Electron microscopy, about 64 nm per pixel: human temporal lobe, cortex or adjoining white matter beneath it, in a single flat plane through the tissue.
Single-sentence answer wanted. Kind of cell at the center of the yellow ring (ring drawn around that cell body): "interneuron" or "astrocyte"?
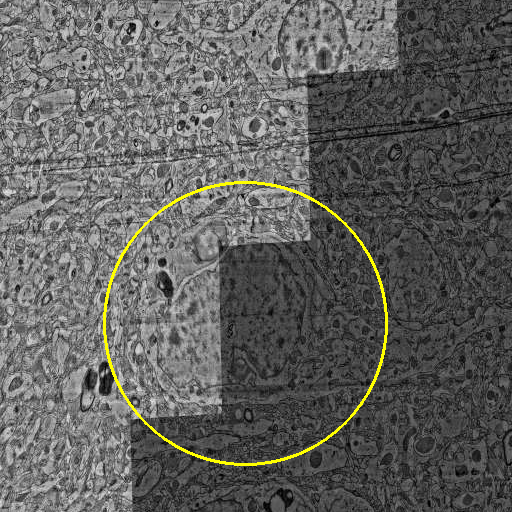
The cell centered in the ring is an interneuron.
